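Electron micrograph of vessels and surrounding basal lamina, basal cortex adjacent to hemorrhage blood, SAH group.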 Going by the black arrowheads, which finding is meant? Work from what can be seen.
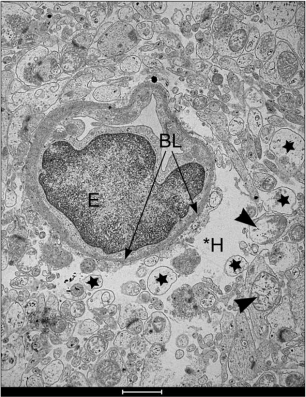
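The arrowheads point to rounded membrane-bound organelles in the neuropil. These organelles look enlarged and pale with few inner folds.
Swollen mitochondria with reduced cristae.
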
